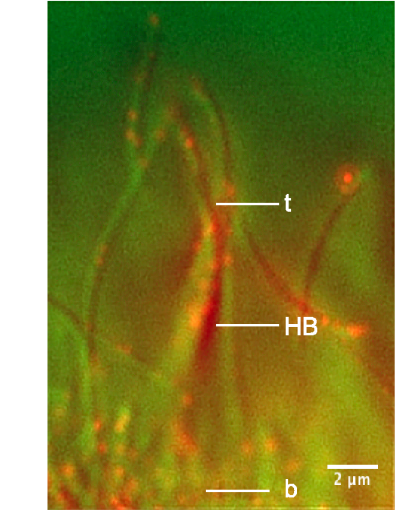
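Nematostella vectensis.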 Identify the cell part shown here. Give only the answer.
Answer: Stereocilia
